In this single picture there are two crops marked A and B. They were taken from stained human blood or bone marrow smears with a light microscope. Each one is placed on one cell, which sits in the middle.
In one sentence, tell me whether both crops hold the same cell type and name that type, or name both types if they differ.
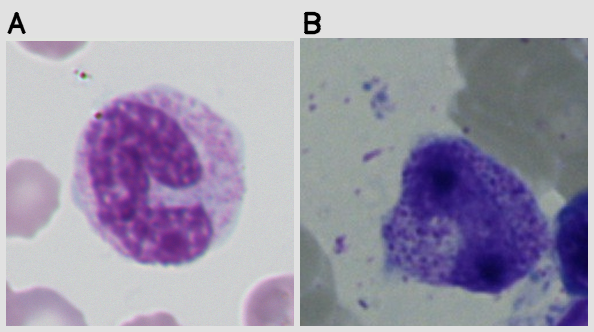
Yes, as an answer for this item, both crops show band neutrophils.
